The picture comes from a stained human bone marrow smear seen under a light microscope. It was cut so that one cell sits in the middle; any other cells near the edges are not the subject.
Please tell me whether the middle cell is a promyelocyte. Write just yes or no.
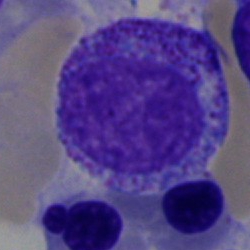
yes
